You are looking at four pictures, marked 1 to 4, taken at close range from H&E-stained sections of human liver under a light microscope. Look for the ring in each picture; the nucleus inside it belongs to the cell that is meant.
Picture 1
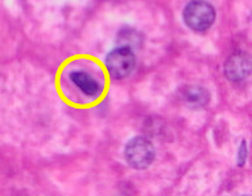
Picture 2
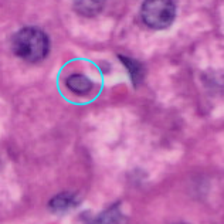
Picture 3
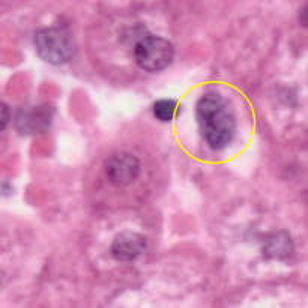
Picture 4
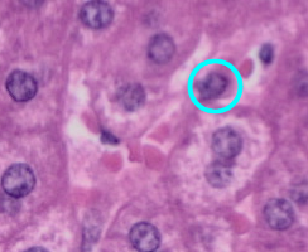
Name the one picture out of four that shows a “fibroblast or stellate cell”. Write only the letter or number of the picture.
1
